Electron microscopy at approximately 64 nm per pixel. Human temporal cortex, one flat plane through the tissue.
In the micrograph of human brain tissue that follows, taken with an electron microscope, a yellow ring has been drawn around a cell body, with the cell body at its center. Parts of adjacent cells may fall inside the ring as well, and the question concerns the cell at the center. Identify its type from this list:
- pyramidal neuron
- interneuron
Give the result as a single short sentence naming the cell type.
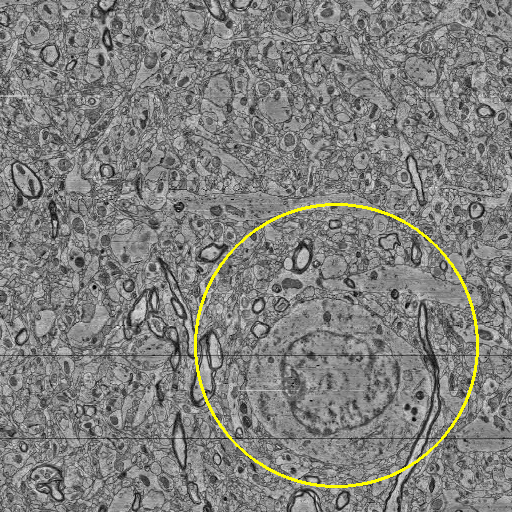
The ring is centered on an interneuron.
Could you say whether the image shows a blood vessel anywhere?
No, no vessel shows anywhere in the image.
